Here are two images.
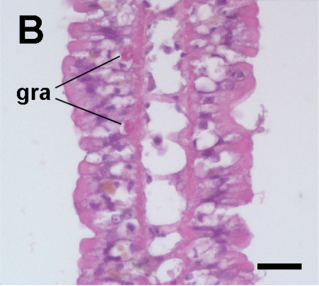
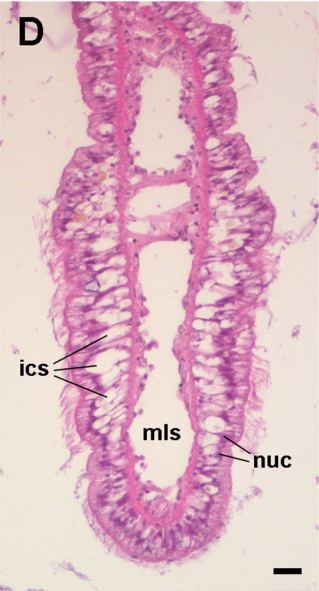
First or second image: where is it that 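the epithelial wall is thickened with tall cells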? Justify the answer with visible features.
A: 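Second image: tall columnar epithelium with long cells lines both sides of a wide central space.
Answer: the second image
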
